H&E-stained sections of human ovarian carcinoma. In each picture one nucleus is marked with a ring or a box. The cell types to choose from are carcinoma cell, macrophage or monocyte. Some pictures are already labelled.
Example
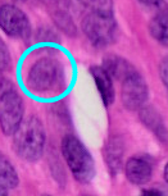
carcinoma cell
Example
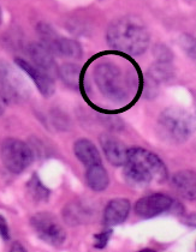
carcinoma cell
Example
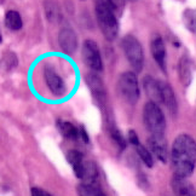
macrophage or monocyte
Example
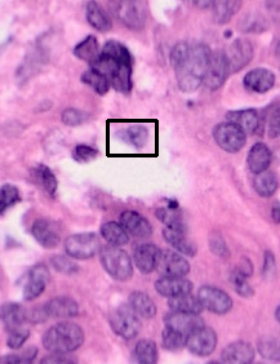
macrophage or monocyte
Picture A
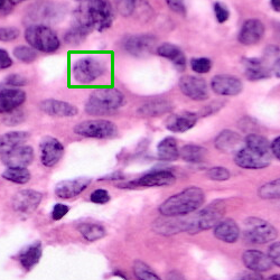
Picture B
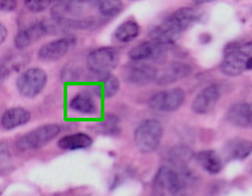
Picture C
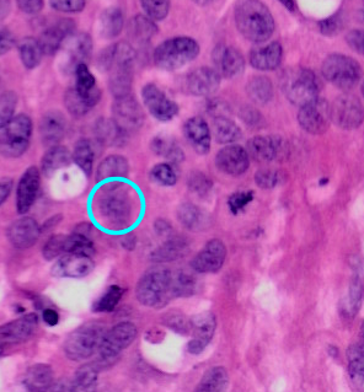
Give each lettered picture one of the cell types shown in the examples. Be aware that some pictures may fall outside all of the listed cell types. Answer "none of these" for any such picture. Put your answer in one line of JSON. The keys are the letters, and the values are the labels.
{"A": "macrophage or monocyte", "B": "carcinoma cell", "C": "carcinoma cell"}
